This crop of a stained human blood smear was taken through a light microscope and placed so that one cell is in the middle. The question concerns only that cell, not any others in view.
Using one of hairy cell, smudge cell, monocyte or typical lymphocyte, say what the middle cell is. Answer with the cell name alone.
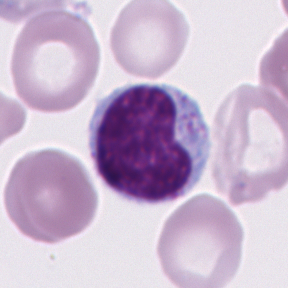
typical lymphocyte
